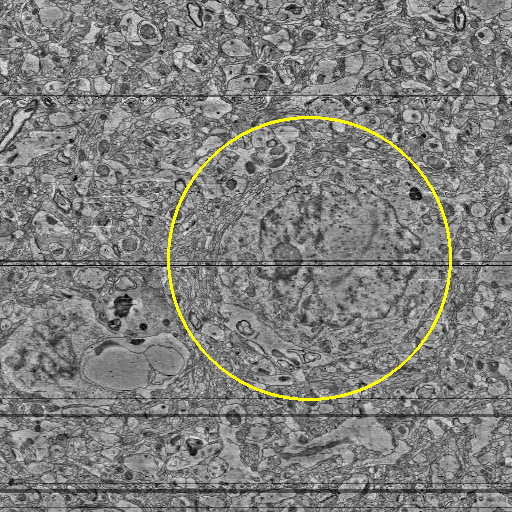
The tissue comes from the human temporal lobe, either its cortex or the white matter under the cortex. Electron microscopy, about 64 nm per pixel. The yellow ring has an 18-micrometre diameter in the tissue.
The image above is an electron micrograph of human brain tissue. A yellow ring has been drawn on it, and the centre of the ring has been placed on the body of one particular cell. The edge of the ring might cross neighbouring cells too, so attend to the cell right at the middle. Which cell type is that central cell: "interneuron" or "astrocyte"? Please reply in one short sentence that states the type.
The central cell in the ring is an interneuron.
